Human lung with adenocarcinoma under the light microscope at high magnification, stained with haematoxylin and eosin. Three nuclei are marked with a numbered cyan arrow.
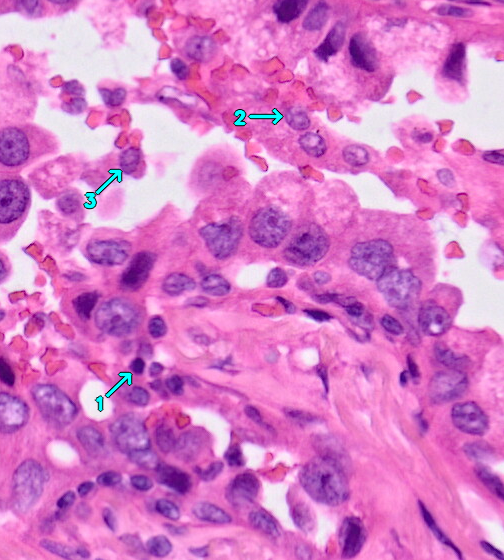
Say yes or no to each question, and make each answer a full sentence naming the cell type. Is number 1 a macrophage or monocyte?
No, it is a lymphocyte, not a macrophage or monocyte, that number 1 marks.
